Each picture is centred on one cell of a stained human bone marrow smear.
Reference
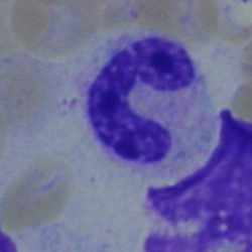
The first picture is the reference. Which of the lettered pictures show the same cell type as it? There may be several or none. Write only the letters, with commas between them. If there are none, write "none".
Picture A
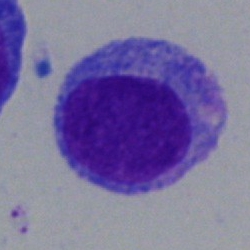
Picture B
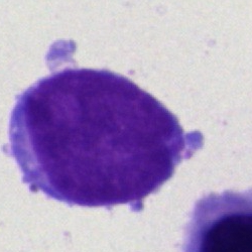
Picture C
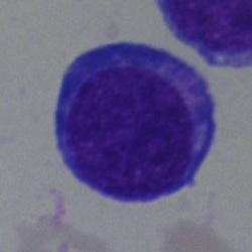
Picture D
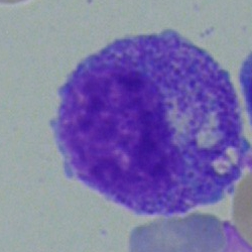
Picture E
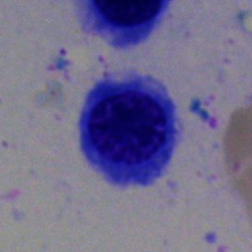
none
